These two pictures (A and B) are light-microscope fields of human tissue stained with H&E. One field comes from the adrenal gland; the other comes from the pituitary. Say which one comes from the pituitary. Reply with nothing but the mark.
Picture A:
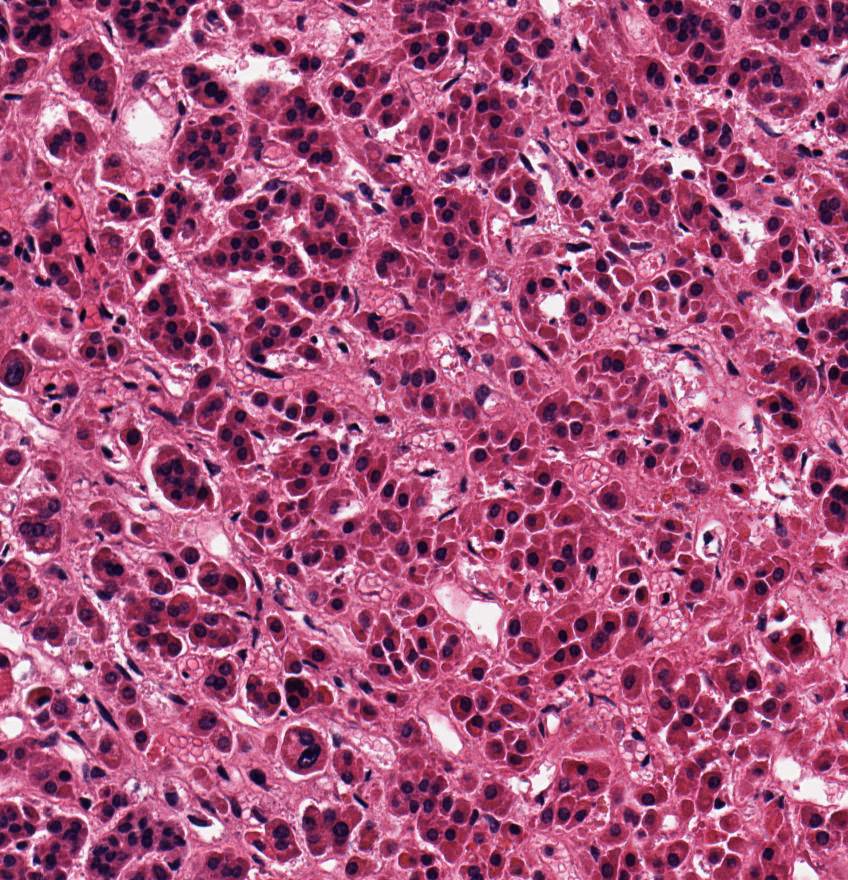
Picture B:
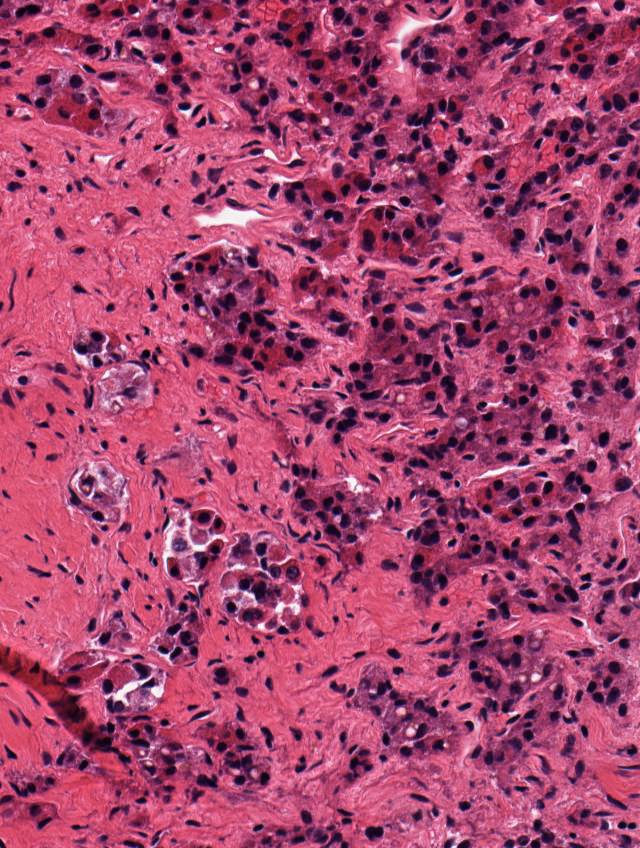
B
